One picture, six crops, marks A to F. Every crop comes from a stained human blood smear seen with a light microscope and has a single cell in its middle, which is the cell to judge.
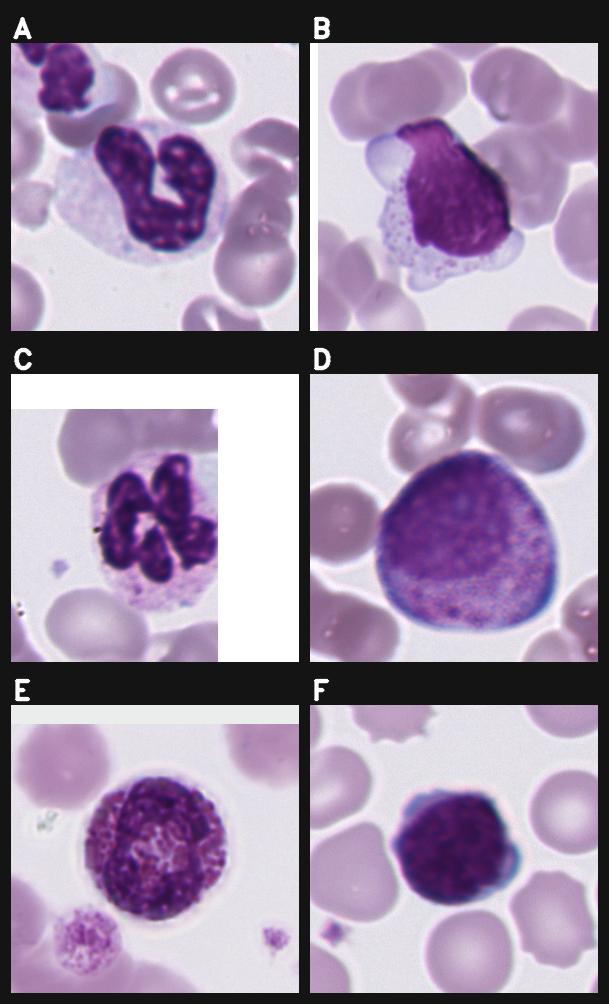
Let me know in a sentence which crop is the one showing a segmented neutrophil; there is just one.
Identified crop: C, the one that shows a segmented neutrophil.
